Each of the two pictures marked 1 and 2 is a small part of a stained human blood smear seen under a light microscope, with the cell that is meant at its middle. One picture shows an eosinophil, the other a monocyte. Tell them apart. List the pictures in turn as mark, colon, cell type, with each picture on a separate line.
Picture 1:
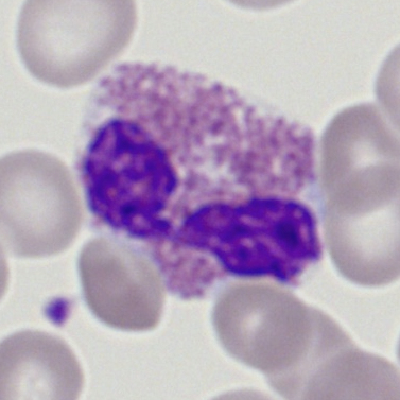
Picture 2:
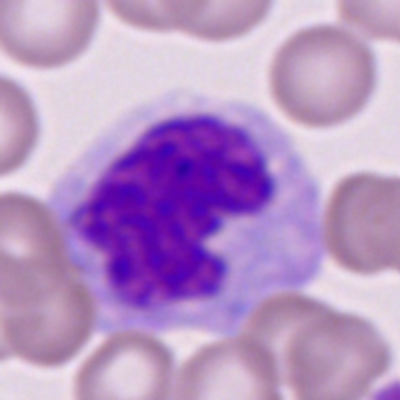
1: eosinophil
2: monocyte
